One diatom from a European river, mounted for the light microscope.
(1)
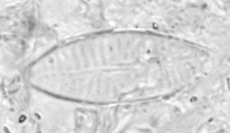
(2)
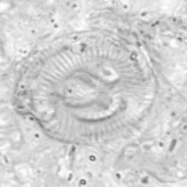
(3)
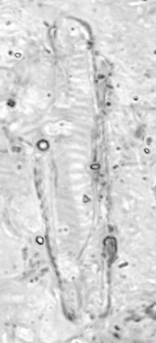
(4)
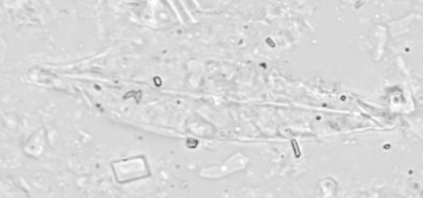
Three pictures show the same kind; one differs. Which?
Picture 2: Discostella, while the others are Navicula.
